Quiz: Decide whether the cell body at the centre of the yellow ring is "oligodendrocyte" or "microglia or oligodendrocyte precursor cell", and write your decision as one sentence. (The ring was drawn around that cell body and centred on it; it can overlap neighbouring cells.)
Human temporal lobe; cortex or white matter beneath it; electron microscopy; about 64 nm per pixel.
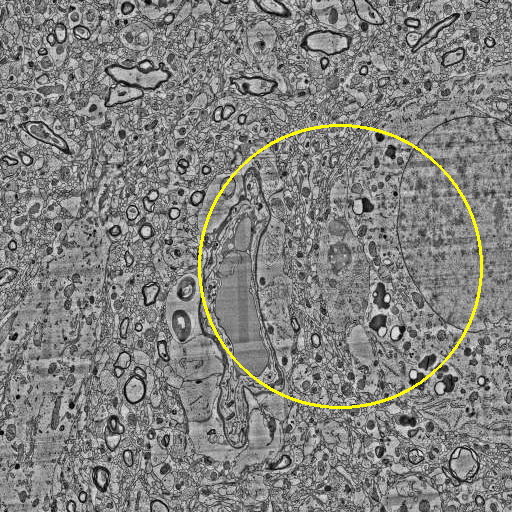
The cell the ring is centred on is an oligodendrocyte.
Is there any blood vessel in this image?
Yes, the image shows a blood vessel.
